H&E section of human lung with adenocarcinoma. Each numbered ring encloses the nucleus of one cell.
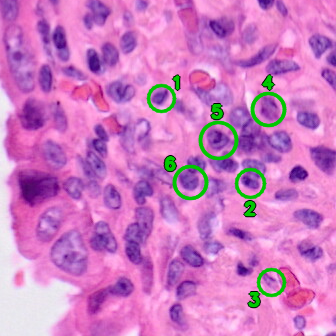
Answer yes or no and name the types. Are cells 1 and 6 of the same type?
Yes, cells 1 and 6 are lymphocytes, the two of them alike.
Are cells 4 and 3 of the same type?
No, the cell labelled 4 is a plasma cell; the cell labelled 3 is an endothelial cell.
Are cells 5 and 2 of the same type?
No, here cell 5 is a plasma cell, whereas cell 2 is a lymphocyte.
